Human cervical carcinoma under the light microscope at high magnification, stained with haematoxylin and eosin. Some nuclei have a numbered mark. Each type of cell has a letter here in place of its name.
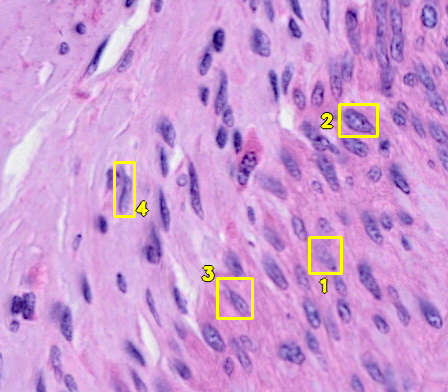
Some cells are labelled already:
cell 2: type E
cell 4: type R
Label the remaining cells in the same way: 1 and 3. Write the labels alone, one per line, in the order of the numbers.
type E
type E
